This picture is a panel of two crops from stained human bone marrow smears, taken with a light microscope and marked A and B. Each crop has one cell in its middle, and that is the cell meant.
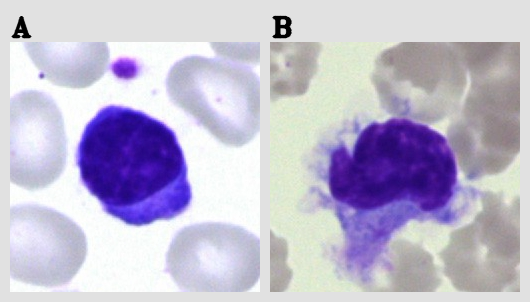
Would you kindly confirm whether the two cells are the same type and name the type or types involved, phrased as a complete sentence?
No, record crop A as a plasma cell and crop B as a hairy cell.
